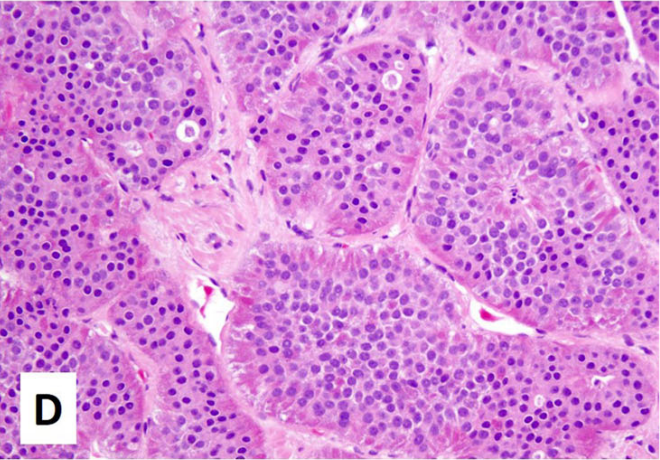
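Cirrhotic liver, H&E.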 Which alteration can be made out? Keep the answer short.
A: Well-differentiated neuroendocrine tumor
